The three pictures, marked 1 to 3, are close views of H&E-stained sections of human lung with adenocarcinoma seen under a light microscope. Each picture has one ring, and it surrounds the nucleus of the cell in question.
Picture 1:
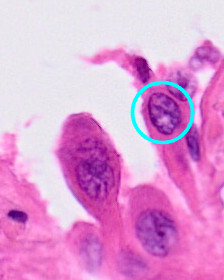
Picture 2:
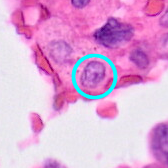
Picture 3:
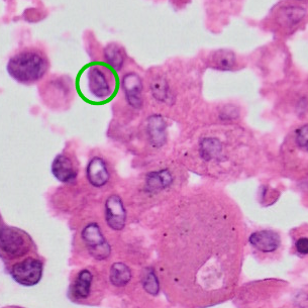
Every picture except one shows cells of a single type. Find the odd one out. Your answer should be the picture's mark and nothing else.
1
